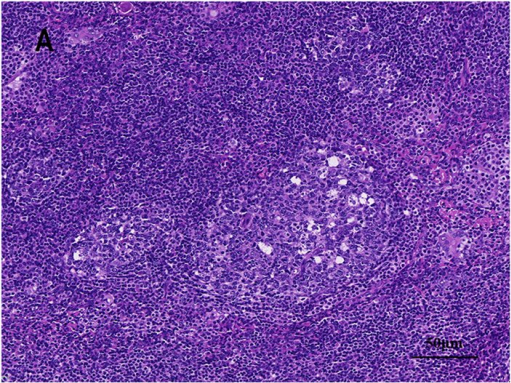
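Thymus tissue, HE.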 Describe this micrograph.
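Lymphoid tissue stained with hematoxylin and eosin showing rounded nodules with paler centers set within sheets of densely packed small, dark purple lymphocytes. The paler nodules contain larger cells with lighter nuclei and more pink cytoplasm, and scattered clear vacuole-like spaces giving a mottled appearance. The surrounding small lymphocytes form a dark rim and fill the rest of the field. A few pink strands of connective tissue and small vessels run through the upper right. The overall picture is of follicle-like structures lying in dense lymphoid tissue.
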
